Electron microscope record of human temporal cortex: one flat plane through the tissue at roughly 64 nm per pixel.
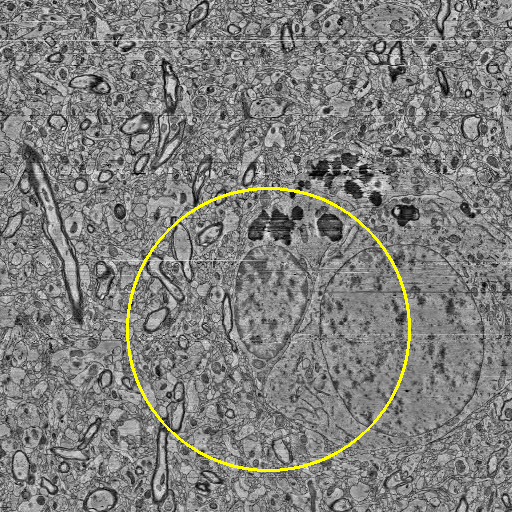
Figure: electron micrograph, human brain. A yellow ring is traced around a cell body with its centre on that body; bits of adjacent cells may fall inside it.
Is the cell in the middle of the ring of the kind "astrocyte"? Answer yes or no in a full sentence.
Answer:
No, another kind applies to the cell centred within the yellow ring of the picture.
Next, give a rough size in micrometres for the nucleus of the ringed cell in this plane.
About 8 by 5 micrometers, in this plane.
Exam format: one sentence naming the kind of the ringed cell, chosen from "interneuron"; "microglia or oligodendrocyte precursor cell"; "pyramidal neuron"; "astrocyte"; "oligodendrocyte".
The cell shown in the ring is an oligodendrocyte.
